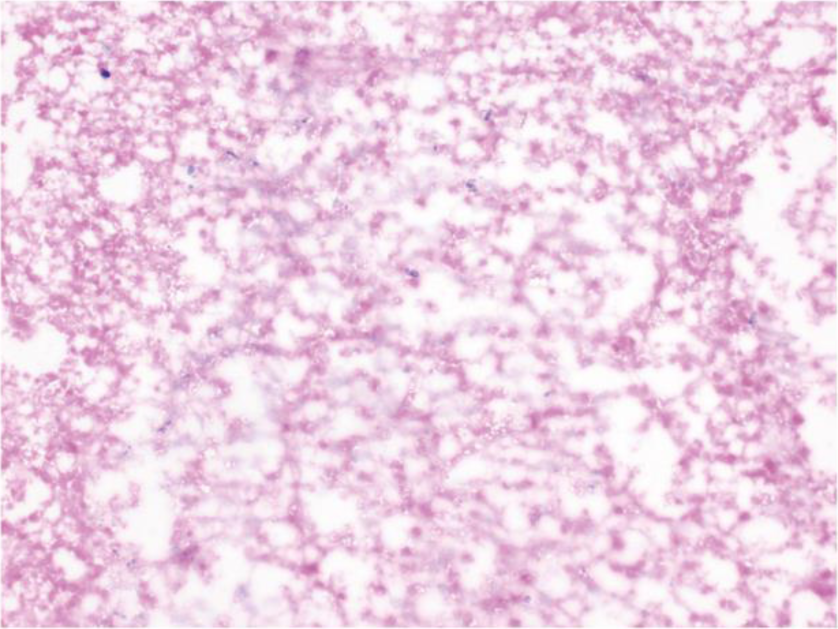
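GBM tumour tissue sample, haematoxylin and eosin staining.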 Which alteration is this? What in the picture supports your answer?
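The tissue is pale pink and broken up into a loose, lacy, fragmented network. Blue-stained nuclei are almost absent across the field. No intact cellular architecture can be made out.
Extensive necrosis.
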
